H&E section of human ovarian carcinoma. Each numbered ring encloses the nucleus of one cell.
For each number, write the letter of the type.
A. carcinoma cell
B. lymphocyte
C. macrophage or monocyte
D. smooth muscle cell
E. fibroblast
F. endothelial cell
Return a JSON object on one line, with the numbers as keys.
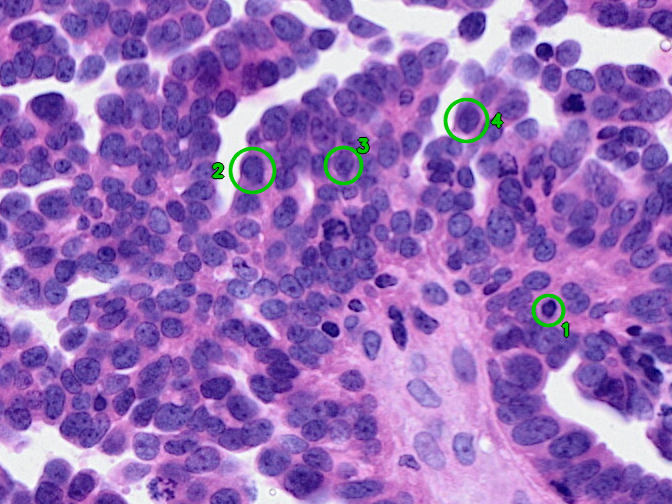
{"1": "B", "2": "A", "3": "A", "4": "A"}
